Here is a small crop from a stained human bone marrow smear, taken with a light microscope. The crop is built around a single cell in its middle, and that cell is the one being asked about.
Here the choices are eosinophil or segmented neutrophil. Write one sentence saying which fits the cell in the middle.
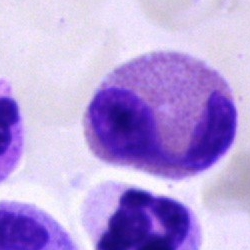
The centered cell in this crop is an eosinophil.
